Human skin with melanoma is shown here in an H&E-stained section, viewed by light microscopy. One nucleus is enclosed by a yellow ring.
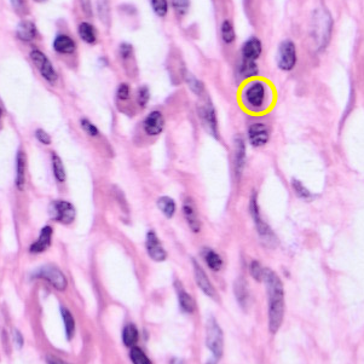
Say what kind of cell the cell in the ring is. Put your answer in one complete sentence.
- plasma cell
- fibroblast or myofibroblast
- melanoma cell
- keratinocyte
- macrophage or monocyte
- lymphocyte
For the purposes of cell typing, the cell in the ring is categorized as a plasma cell.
